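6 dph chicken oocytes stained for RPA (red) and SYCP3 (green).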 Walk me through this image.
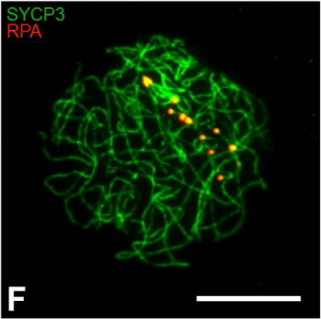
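The axes are thin and form a dense tangle over a round nucleus, with no long thick paired threads left. Near the centre a short row of bright red to yellow foci sits along one axis, appearing yellow where they overlap the green thread.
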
